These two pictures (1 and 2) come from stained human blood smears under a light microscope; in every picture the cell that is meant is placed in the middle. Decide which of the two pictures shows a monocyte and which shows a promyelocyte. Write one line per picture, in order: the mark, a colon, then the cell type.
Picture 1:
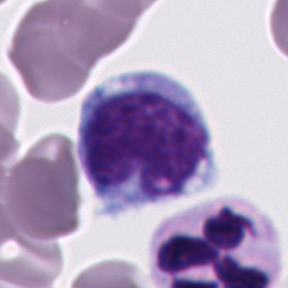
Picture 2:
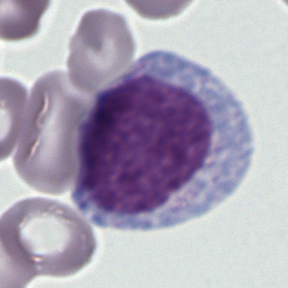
1: monocyte
2: promyelocyte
